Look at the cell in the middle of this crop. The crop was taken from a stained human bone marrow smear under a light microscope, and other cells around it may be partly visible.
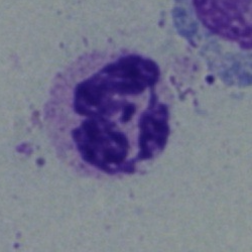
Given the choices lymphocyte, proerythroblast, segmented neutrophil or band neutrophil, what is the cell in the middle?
segmented neutrophil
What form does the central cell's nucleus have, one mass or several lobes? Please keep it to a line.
Multiple nuclear lobes, two or more, can be counted in this cell.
